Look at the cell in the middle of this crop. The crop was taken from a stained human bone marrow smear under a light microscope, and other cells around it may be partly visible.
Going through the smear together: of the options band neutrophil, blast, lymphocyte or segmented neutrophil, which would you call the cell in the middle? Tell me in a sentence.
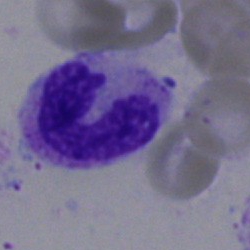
On this slide crop, the central cell is a band neutrophil.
